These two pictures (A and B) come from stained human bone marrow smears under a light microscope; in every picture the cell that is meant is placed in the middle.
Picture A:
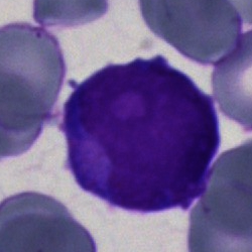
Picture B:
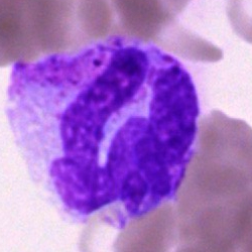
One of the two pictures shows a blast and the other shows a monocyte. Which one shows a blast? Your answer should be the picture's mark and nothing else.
A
